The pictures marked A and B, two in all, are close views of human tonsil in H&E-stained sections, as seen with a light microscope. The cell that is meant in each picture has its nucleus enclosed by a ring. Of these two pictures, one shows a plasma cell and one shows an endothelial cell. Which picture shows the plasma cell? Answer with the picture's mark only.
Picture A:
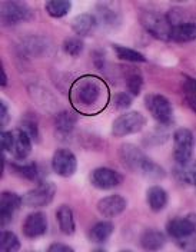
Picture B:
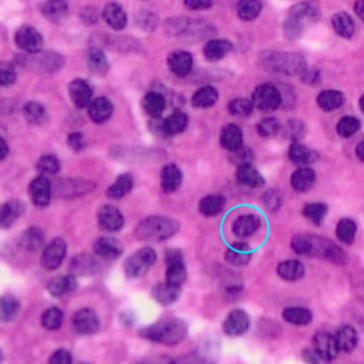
B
